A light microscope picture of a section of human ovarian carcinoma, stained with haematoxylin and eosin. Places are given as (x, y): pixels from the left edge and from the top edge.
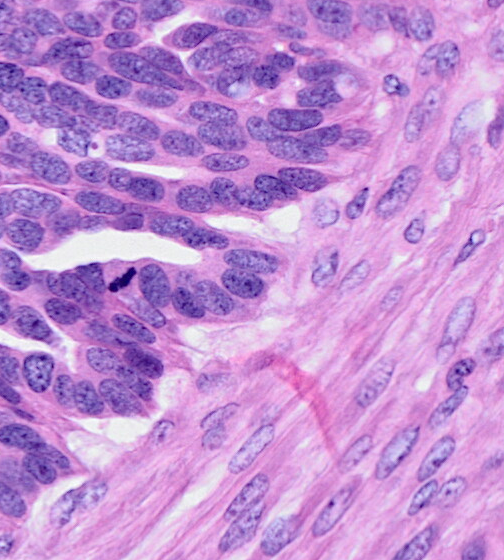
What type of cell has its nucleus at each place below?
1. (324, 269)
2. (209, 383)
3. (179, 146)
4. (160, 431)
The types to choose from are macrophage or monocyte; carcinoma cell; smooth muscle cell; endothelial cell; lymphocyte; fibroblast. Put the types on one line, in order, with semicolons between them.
fibroblast; fibroblast; carcinoma cell; fibroblast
